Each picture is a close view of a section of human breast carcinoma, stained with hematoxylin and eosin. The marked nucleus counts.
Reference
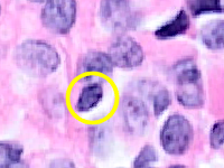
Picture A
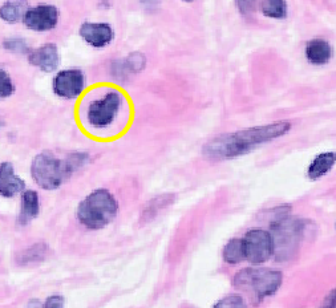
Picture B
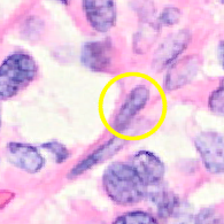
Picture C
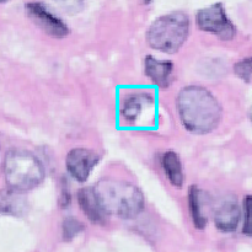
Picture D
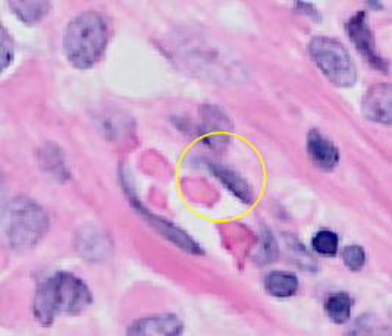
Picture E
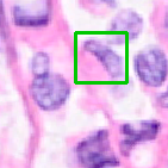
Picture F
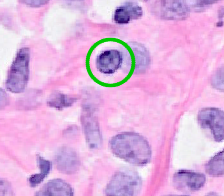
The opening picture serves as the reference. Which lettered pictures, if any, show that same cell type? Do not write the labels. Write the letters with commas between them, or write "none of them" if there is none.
A, F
